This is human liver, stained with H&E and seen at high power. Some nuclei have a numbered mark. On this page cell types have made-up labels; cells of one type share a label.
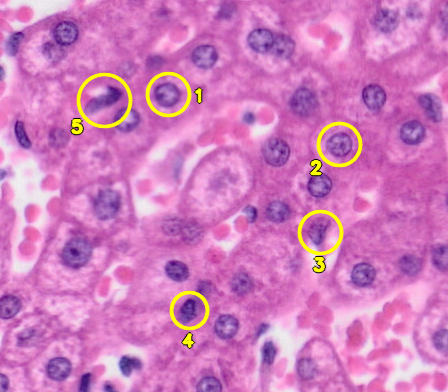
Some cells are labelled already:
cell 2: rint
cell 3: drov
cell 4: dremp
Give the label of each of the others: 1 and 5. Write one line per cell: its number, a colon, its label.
1: rint
5: drov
